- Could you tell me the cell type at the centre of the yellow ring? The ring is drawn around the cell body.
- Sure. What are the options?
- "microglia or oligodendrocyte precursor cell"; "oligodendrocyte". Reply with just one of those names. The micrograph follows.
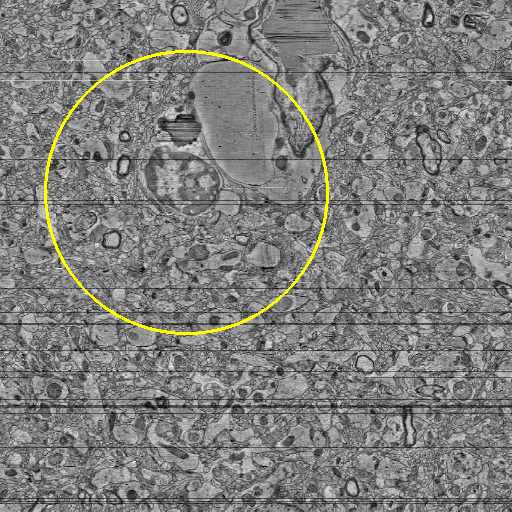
microglia or oligodendrocyte precursor cell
